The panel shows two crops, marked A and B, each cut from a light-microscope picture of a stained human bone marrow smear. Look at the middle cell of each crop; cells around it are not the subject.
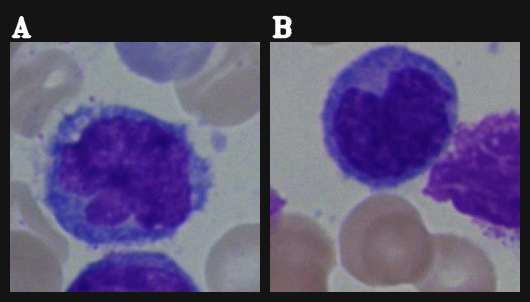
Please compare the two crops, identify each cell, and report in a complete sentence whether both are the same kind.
Yes, monocytes are the central cells in the two crops.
